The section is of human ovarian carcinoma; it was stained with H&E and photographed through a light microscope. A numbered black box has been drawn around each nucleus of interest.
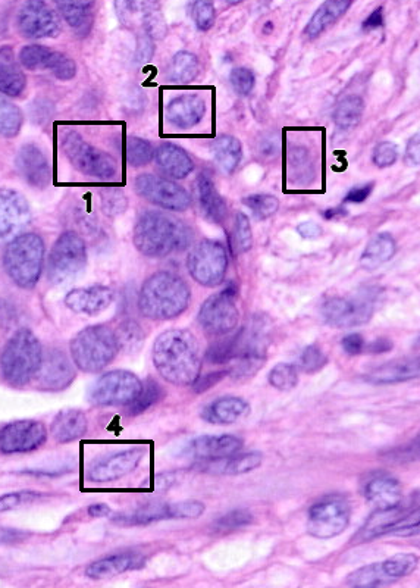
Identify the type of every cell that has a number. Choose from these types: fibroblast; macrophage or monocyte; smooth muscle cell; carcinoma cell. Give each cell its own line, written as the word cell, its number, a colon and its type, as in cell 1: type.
cell 1: carcinoma cell
cell 2: macrophage or monocyte
cell 3: fibroblast
cell 4: fibroblast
